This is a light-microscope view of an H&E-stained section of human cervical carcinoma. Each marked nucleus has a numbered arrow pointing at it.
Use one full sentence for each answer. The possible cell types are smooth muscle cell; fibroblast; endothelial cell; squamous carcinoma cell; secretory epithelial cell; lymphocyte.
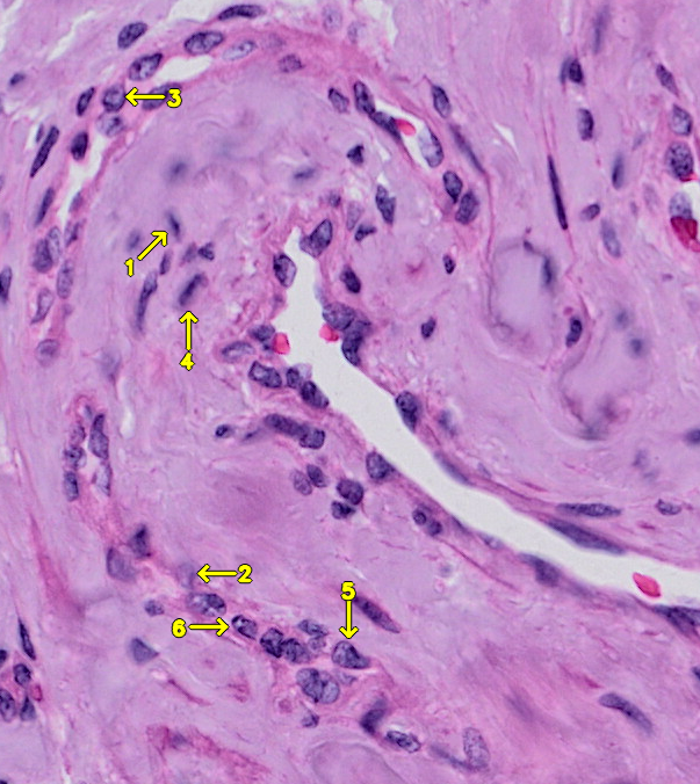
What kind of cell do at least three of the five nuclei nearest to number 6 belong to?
Most of the five nuclei nearest to number 6 are those of endothelial cells.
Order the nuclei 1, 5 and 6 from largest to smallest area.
Going from the biggest nucleus down to the smallest gives 5, 6, 1.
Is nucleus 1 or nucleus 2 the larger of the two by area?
The larger nucleus is 2, at roughly 1.5 times the area of 1.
